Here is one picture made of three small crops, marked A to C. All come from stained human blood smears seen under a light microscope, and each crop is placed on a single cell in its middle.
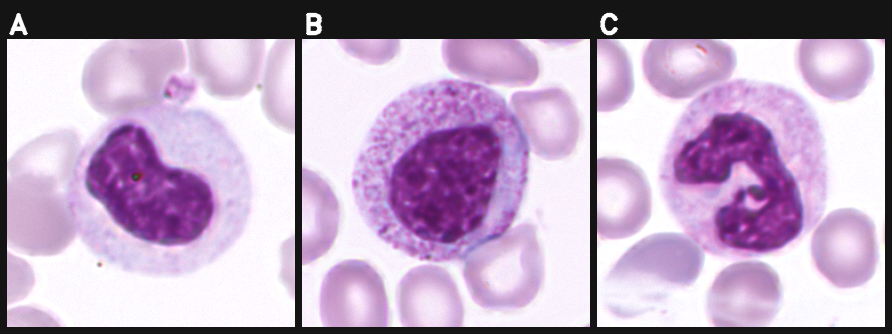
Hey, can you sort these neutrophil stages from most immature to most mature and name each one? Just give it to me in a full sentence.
In terms of maturity, from least to most, the order is crop B (a myelocyte), crop A (a metamyelocyte) and crop C (a band neutrophil).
